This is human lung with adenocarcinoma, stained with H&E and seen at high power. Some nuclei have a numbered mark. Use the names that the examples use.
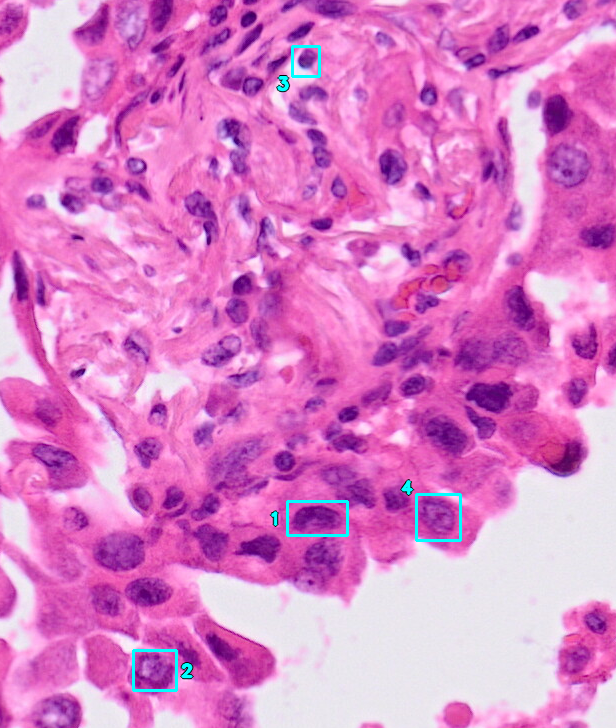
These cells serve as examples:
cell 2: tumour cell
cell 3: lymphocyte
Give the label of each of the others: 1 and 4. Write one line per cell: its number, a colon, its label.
1: tumour cell
4: tumour cell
